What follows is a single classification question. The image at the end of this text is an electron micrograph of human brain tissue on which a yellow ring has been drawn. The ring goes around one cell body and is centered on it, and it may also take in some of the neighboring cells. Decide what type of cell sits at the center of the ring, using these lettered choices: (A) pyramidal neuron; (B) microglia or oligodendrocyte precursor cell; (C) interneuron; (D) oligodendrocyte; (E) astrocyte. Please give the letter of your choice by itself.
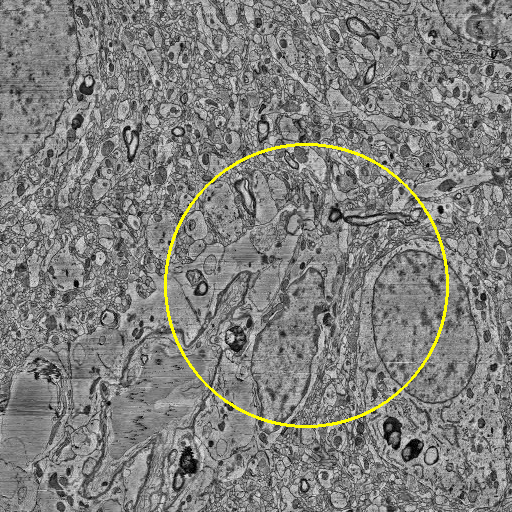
B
